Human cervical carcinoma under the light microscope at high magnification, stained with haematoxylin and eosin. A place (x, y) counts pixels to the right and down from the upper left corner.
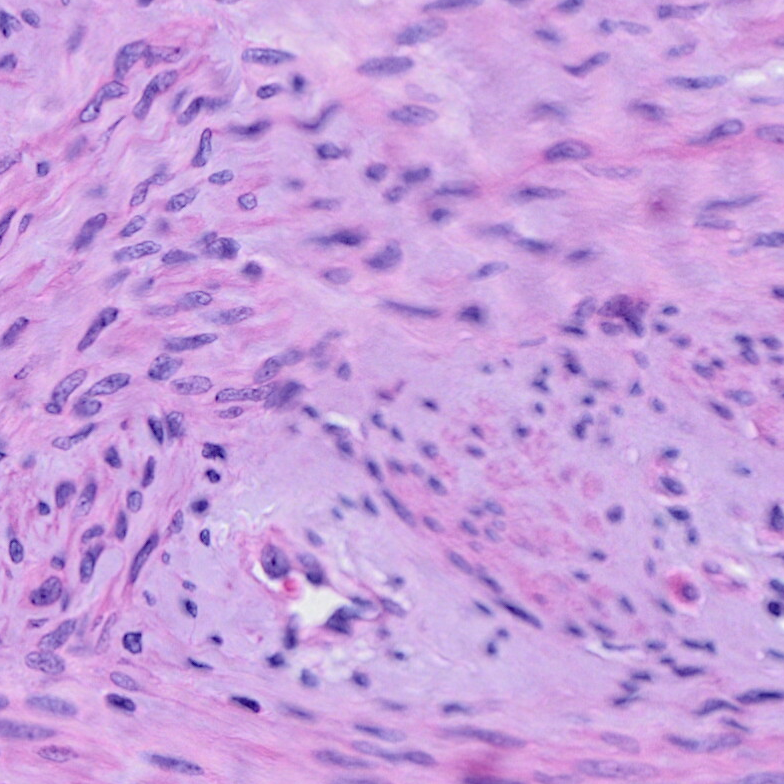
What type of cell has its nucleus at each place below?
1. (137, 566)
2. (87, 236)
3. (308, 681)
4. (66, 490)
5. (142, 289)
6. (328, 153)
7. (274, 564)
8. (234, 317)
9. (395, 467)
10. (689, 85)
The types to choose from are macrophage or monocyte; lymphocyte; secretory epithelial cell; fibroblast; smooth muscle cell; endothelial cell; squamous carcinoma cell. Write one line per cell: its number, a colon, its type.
1: smooth muscle cell
2: smooth muscle cell
3: fibroblast
4: smooth muscle cell
5: smooth muscle cell
6: fibroblast
7: endothelial cell
8: smooth muscle cell
9: smooth muscle cell
10: fibroblast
